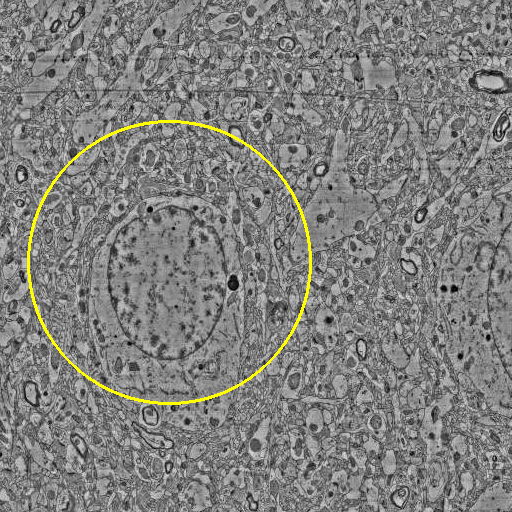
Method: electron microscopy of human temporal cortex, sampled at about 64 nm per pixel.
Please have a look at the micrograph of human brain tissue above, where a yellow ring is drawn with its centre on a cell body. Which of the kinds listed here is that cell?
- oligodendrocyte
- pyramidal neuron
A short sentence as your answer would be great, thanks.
At the centre of the ring sits a pyramidal neuron.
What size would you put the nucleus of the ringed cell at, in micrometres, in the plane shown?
Roughly 10 by 8 micrometres is the size of the nucleus in this plane.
